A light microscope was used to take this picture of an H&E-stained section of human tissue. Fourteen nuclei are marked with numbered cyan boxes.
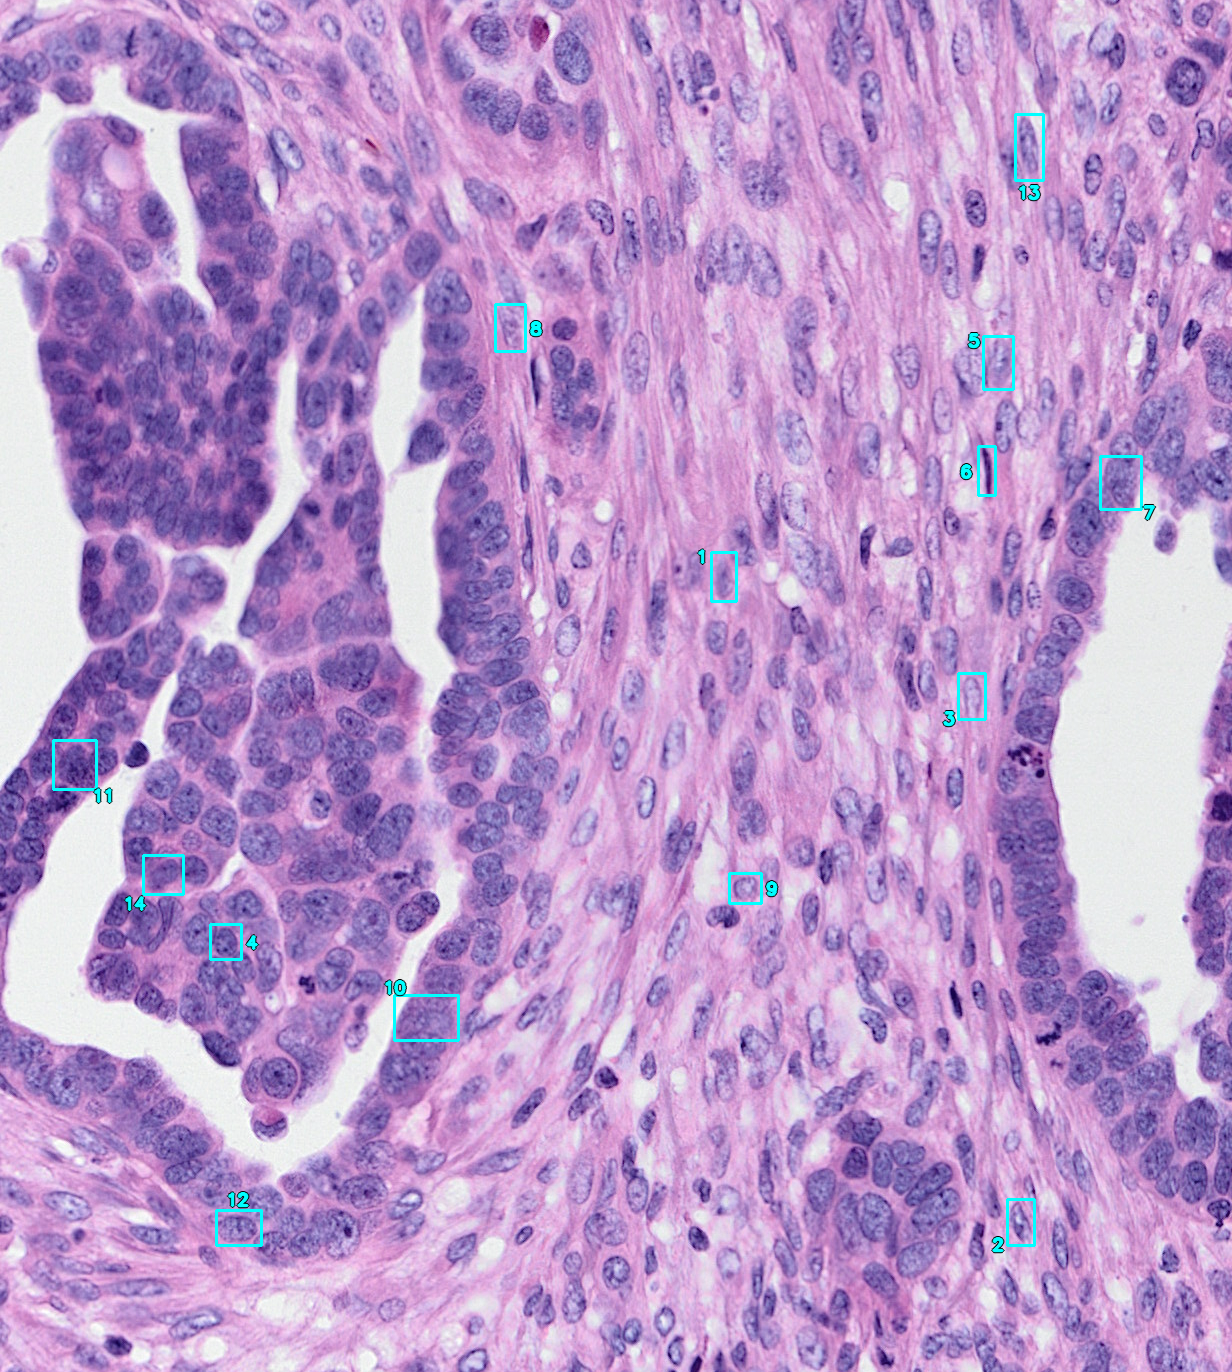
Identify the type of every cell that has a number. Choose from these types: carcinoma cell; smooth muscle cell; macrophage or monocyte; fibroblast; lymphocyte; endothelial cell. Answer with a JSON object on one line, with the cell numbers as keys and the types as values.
{"1": "fibroblast", "2": "fibroblast", "3": "fibroblast", "4": "carcinoma cell", "5": "fibroblast", "6": "fibroblast", "7": "carcinoma cell", "8": "fibroblast", "9": "fibroblast", "10": "carcinoma cell", "11": "carcinoma cell", "12": "carcinoma cell", "13": "fibroblast", "14": "carcinoma cell"}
